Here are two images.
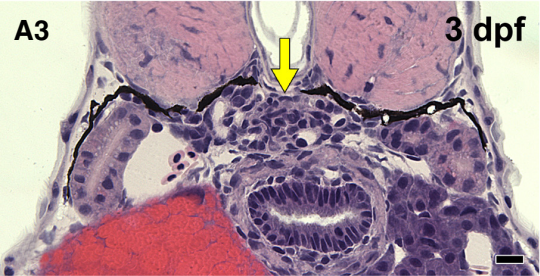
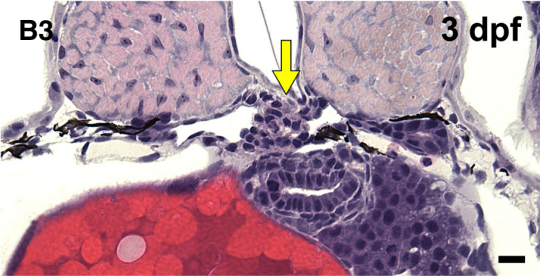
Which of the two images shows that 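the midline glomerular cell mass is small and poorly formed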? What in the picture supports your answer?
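Second image: only a small loose cluster of cells lies in the midline at the arrow. First image: a larger compact rounded cell mass fills the midline between the muscle blocks and the gut.
Answer: the second image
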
